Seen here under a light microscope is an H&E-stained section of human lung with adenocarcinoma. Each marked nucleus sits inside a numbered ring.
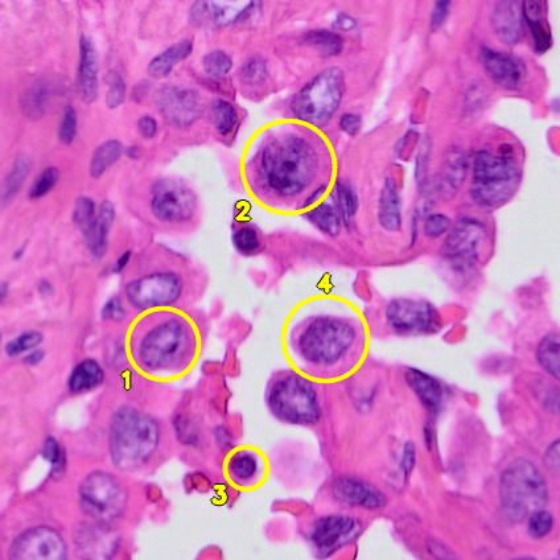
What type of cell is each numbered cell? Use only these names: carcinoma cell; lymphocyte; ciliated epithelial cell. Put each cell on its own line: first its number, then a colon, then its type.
1: carcinoma cell
2: carcinoma cell
3: lymphocyte
4: carcinoma cell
